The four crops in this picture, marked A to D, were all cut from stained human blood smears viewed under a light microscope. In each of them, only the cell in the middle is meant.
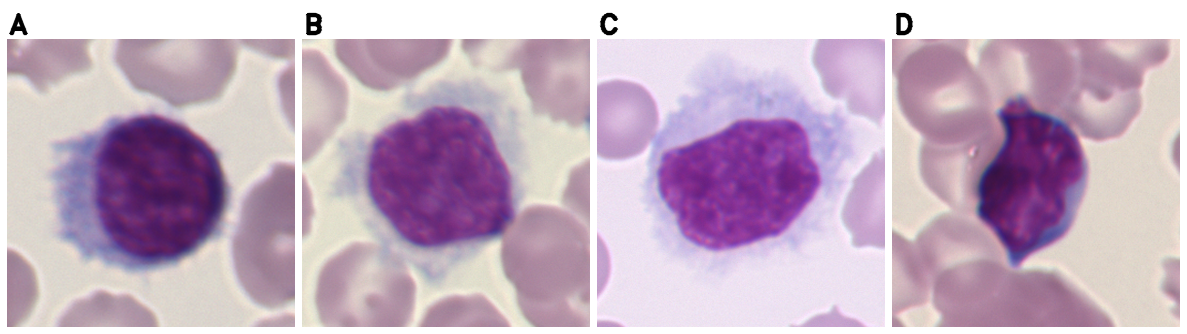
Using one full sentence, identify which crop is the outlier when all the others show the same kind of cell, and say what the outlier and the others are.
Of the crops, all show hairy cells save crop D, which shows a typical lymphocyte.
